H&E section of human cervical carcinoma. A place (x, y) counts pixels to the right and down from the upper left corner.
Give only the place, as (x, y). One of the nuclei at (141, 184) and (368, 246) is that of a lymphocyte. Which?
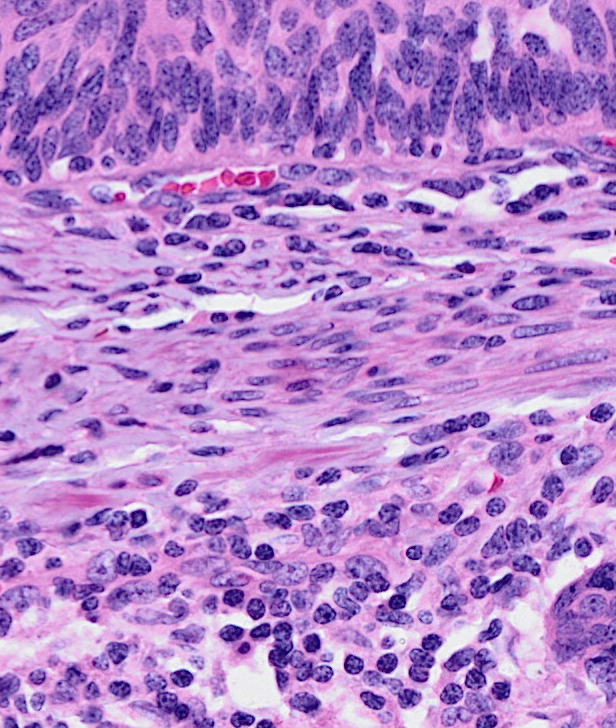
(368, 246)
